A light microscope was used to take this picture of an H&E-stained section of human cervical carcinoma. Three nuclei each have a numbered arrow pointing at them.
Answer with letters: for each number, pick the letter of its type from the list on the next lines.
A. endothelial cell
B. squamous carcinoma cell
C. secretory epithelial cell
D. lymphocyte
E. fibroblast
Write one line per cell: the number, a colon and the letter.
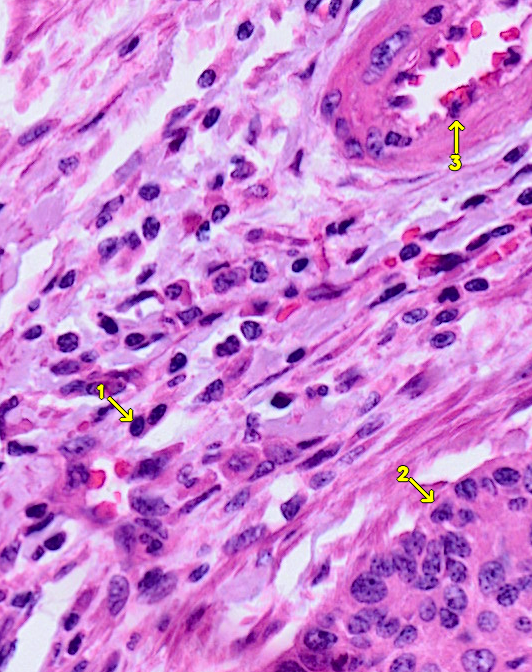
1: D
2: B
3: A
